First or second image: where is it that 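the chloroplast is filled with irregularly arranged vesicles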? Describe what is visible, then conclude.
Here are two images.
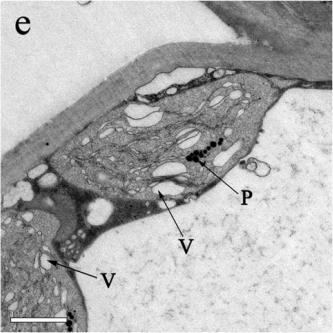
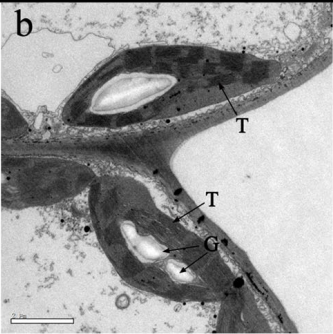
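First image: the plastid interior is broken up by many clear, irregular vesicles without orderly membrane stacks. Second image: the chloroplasts are dense, lens-shaped, with stacked membranes and a pale starch grain, without scattered vesicles. The answer: the first image.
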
